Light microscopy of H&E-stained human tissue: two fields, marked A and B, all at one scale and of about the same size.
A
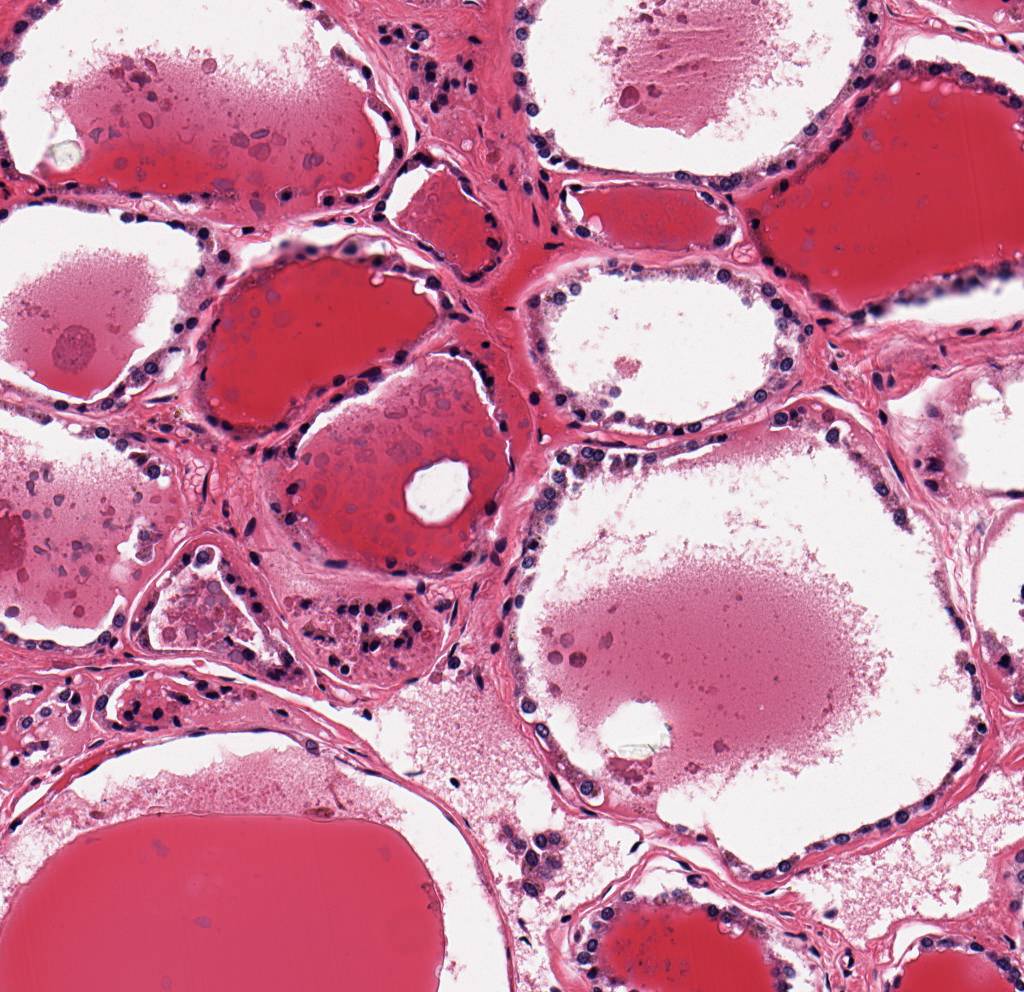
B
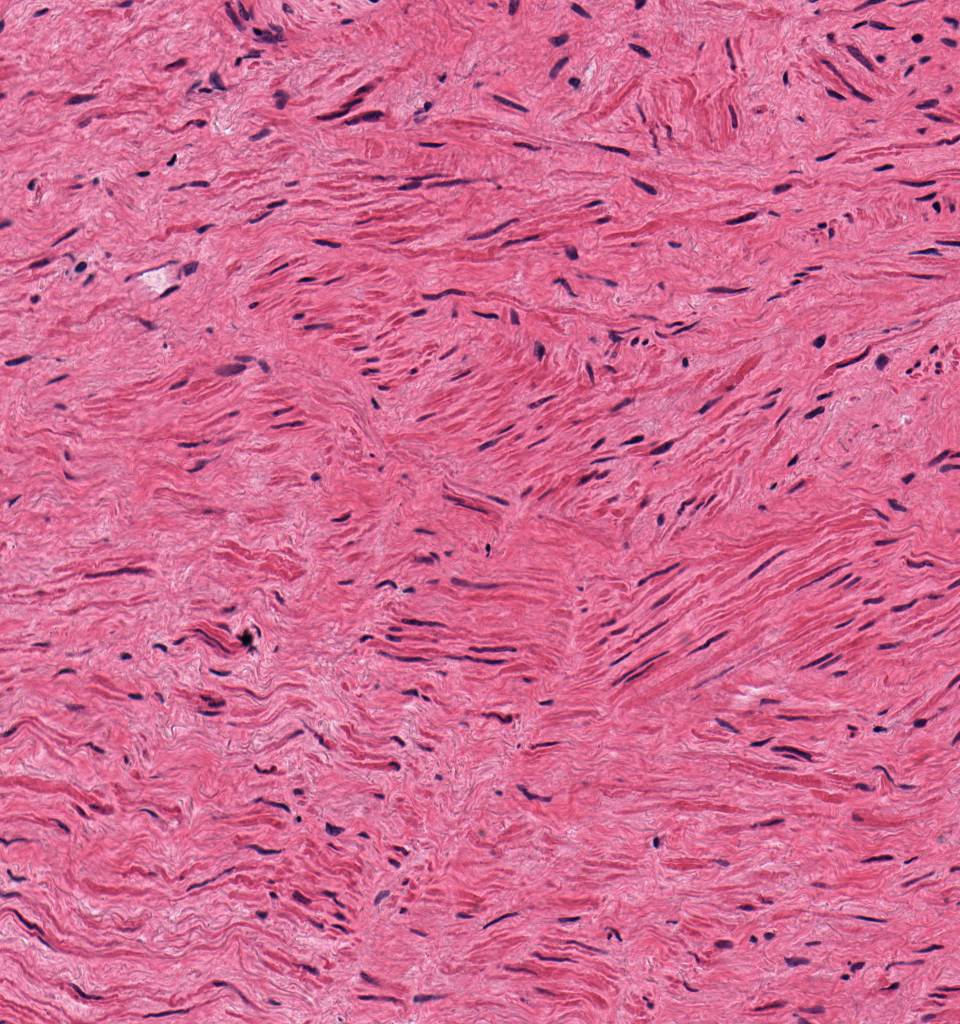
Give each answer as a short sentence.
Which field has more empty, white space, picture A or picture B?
It is picture A in which white space covers the larger part.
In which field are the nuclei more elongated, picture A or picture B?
The nuclei are more elongated in picture B.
